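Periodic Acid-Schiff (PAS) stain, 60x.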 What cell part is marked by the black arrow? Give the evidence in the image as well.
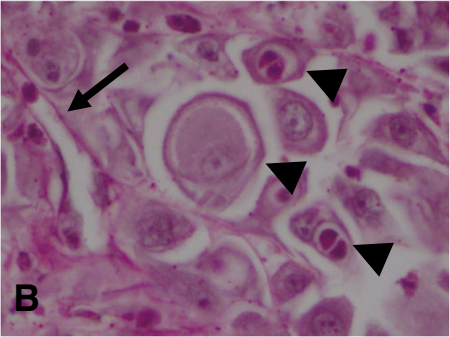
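Basal membrane. The arrow points to a thin pink-magenta line bordering an elongated slit-like space. The line lies between tumour cells at the left edge.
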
